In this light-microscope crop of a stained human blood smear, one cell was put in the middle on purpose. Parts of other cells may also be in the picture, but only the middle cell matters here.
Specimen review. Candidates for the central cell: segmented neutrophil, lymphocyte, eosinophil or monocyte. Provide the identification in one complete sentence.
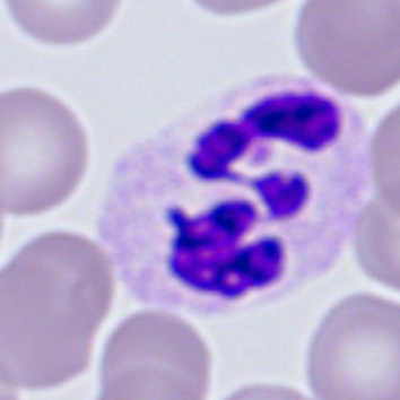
The cell shown in the center of this light-microscope crop is a segmented neutrophil.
